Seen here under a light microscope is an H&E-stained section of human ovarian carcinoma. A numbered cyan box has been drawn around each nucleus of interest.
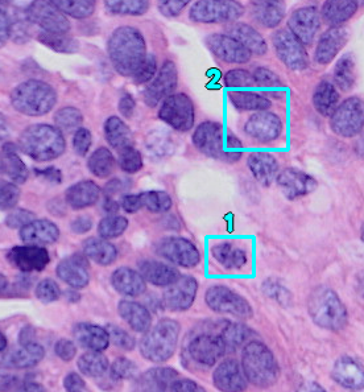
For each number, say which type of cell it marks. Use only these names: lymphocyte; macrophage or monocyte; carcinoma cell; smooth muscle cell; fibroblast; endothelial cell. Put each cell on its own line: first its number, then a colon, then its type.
1: macrophage or monocyte
2: carcinoma cell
